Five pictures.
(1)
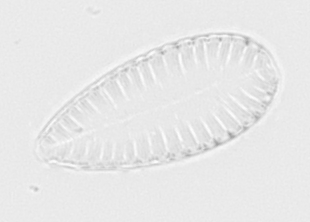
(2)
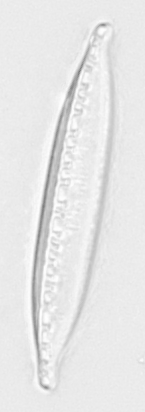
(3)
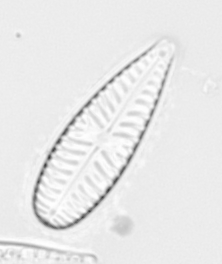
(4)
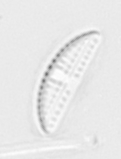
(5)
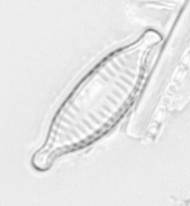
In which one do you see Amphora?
In picture 4.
